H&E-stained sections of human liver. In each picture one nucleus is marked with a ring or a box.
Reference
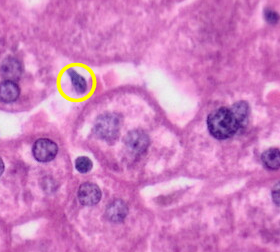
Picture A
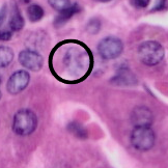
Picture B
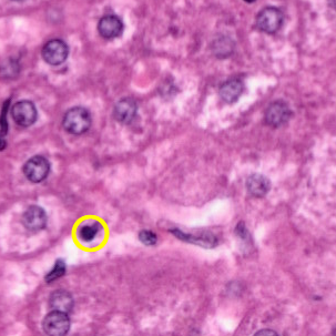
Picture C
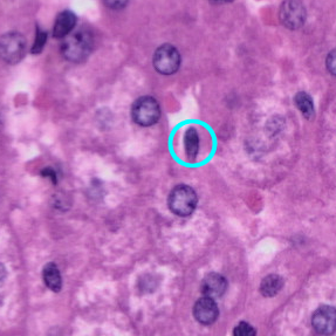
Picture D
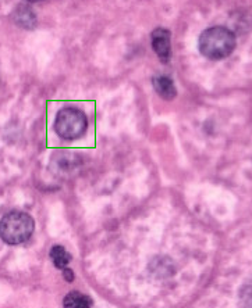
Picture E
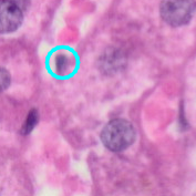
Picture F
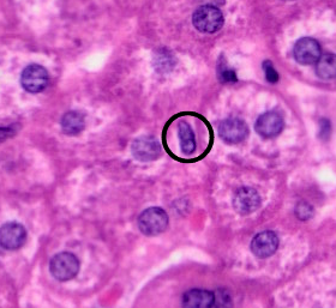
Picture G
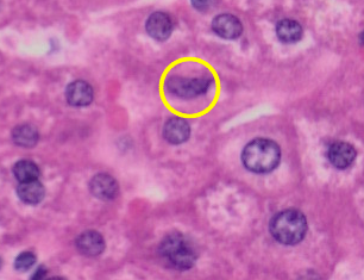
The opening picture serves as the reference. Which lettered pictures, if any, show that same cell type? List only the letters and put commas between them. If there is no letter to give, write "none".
B, C, E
